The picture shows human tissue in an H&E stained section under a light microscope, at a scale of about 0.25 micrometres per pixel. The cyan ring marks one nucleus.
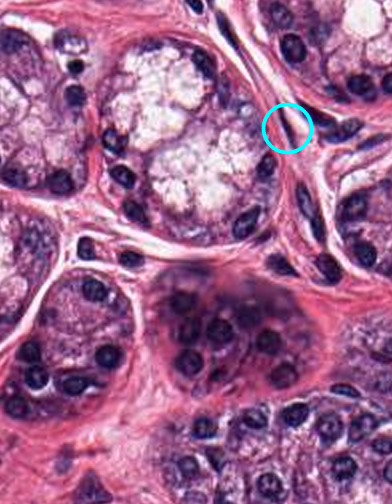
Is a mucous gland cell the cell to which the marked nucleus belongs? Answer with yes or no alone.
no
